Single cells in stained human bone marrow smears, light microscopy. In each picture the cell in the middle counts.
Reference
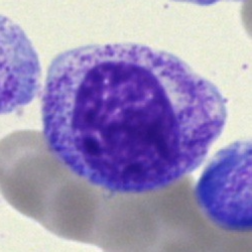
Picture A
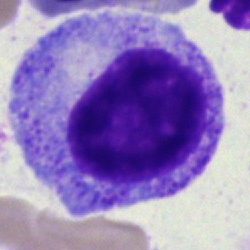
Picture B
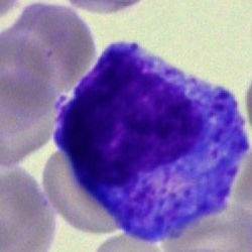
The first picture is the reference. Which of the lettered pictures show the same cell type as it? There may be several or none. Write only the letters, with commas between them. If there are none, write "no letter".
no letter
